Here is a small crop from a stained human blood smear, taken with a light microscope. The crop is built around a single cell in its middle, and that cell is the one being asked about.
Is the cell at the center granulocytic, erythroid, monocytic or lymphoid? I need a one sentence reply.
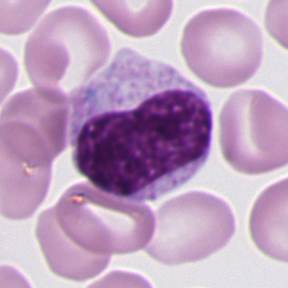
The cell occupying the center of the frame is part of the granulocytic lineage.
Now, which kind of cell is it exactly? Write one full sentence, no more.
This crop has a band neutrophil at its centre.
